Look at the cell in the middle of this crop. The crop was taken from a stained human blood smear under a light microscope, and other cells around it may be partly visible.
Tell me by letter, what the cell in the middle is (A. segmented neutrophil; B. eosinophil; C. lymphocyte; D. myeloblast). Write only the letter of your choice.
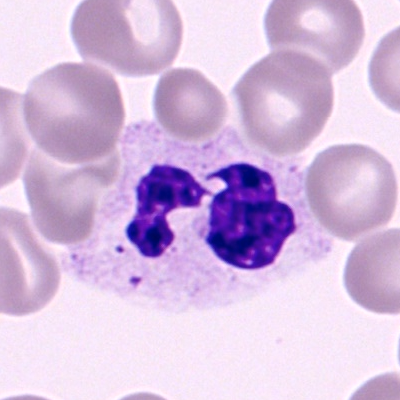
A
